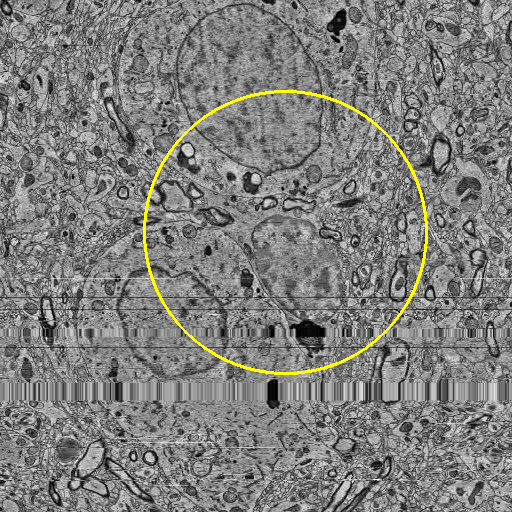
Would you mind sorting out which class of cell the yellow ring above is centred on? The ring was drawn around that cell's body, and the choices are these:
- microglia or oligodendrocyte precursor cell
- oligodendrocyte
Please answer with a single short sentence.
This is the cell body of an oligodendrocyte.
